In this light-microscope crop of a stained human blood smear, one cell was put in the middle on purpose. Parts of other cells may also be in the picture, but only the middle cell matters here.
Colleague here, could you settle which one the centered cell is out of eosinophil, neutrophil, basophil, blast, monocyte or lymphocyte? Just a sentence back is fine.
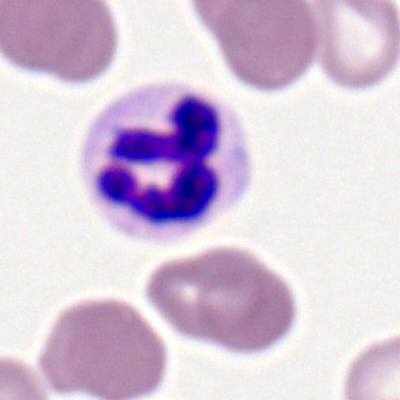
The central cell in this smear crop is a neutrophil.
